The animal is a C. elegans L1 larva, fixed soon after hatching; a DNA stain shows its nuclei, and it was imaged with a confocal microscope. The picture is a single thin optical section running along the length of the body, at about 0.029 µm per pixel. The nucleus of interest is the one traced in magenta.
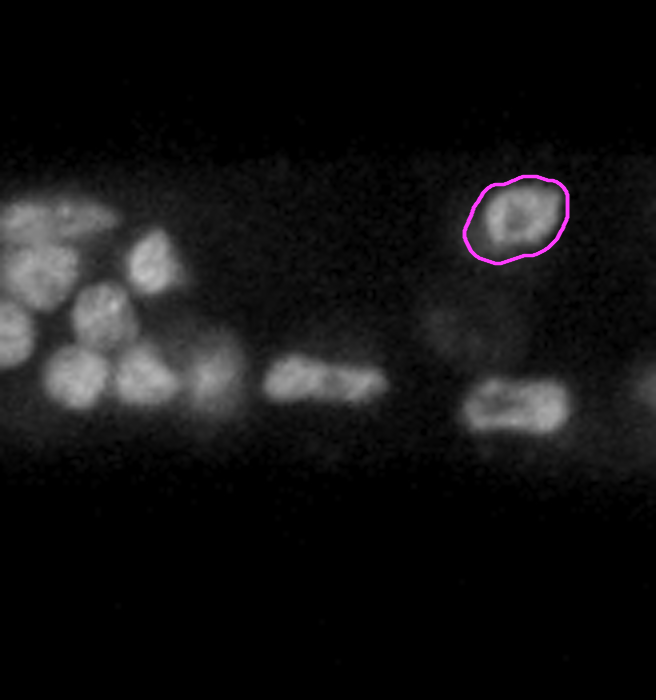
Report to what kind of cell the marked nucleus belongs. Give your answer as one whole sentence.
The marked cell is a body wall muscle cell.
